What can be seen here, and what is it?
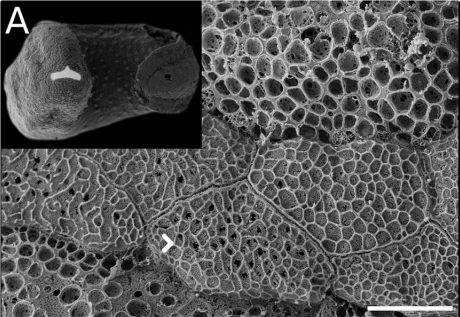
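The cells show as polygonal fields separated by fine grooves, fitting together like paving. Each field is covered with a honeycomb of small pits with raised rims. At the top, a neighbouring region has larger, deeper pits.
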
